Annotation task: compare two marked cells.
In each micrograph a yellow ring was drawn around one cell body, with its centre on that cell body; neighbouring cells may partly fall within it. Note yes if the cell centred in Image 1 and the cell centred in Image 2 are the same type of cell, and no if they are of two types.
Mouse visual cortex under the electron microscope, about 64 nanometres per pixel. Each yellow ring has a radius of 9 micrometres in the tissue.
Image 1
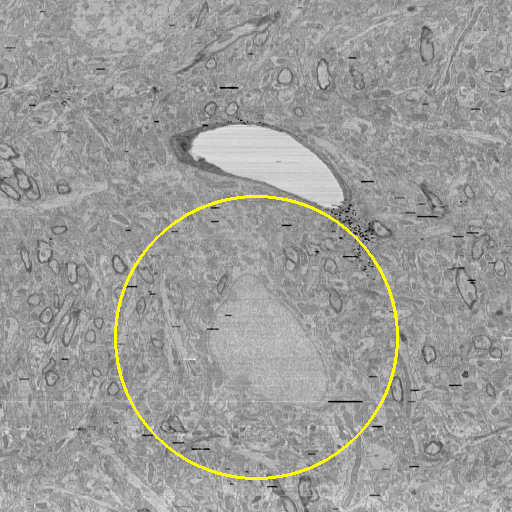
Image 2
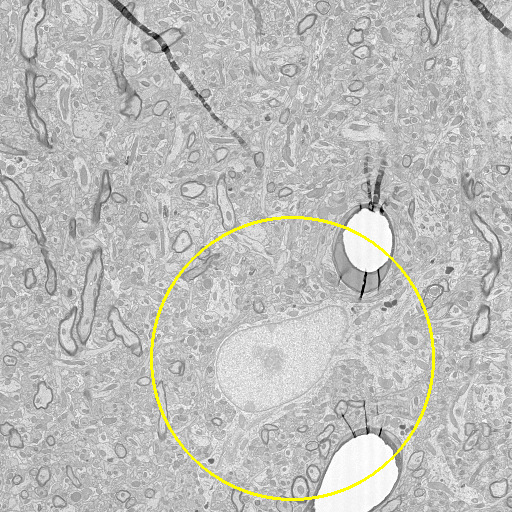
yes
